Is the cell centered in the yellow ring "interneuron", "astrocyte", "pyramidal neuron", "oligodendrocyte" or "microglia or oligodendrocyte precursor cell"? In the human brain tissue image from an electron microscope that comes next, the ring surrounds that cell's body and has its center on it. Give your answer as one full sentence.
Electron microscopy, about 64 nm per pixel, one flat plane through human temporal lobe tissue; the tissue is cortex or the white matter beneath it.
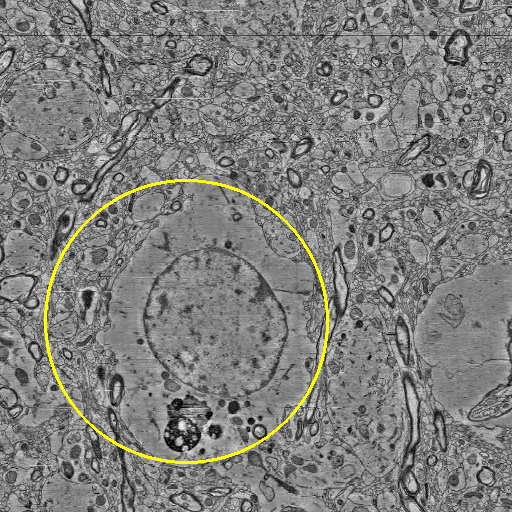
The cell at the center of the yellow ring is an astrocyte in the micrograph.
